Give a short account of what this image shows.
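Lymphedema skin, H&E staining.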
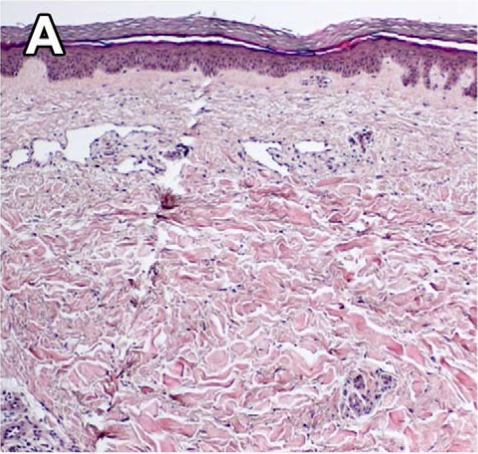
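In the upper dermis several irregular, thin-walled vascular channels with empty lumens are seen. Small clusters of dark purple nuclei lie next to these vessels and at places deeper in the dermis. The dermis is filled with dense pink collagen bundles.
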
